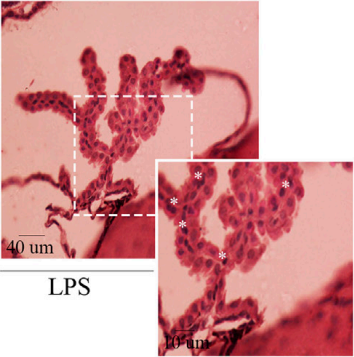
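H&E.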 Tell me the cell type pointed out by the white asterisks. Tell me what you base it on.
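The asterisks lie beside small, darkly stained nuclei among the epithelial cells of the fronds. That points to this answer: recruited leukocytes.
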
